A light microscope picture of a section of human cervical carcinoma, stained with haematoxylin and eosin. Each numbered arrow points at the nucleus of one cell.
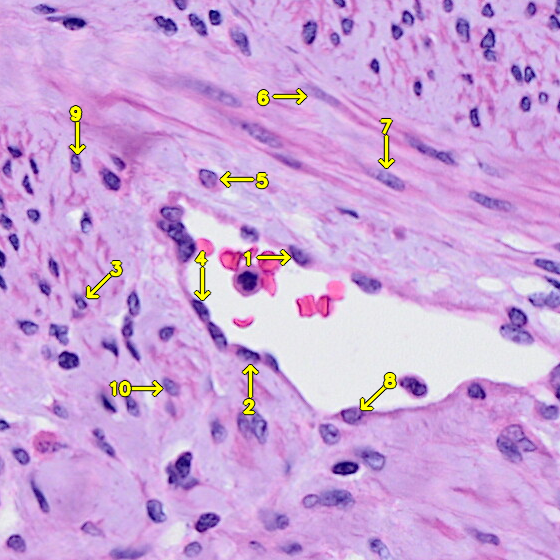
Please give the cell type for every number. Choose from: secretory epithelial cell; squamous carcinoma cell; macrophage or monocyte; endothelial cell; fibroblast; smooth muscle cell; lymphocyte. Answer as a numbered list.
1. endothelial cell
2. endothelial cell
3. smooth muscle cell
4. endothelial cell
5. macrophage or monocyte
6. smooth muscle cell
7. smooth muscle cell
8. endothelial cell
9. smooth muscle cell
10. smooth muscle cell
